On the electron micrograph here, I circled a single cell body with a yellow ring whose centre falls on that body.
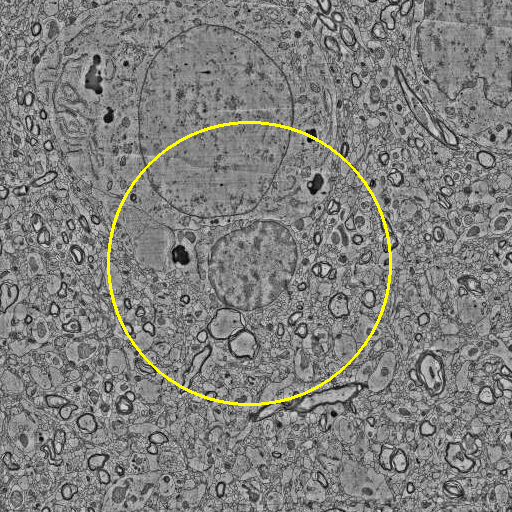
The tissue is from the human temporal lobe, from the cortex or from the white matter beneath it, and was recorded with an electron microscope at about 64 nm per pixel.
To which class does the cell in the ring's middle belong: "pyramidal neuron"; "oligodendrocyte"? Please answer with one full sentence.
In this picture, the cell body circled at the ring's centre belongs to an oligodendrocyte.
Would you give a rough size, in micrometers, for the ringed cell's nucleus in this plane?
The nucleus measures about 6 by 5 micrometres in this plane.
